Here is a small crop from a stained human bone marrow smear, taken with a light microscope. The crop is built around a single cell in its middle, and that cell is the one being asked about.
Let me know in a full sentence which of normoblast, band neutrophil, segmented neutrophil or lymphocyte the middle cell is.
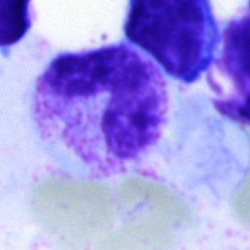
Standing at the centre of this crop is a band neutrophil.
